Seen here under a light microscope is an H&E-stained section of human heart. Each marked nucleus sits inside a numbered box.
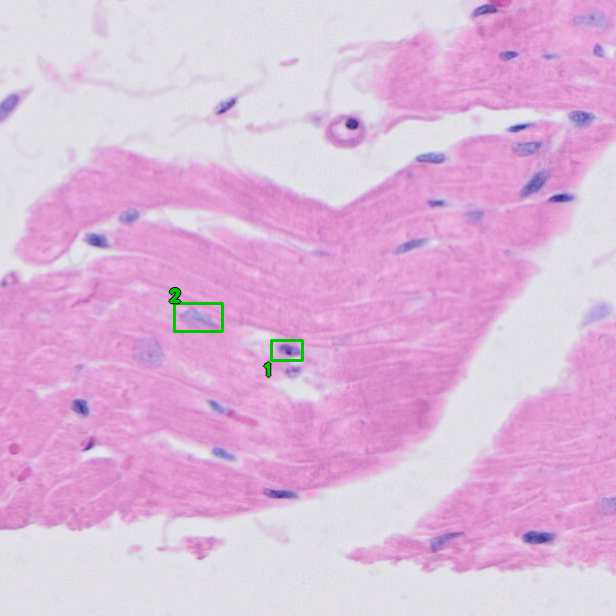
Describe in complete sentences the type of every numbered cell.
Cell 1 is an endothelial cell. Cell 2 is a cardiomyocyte.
